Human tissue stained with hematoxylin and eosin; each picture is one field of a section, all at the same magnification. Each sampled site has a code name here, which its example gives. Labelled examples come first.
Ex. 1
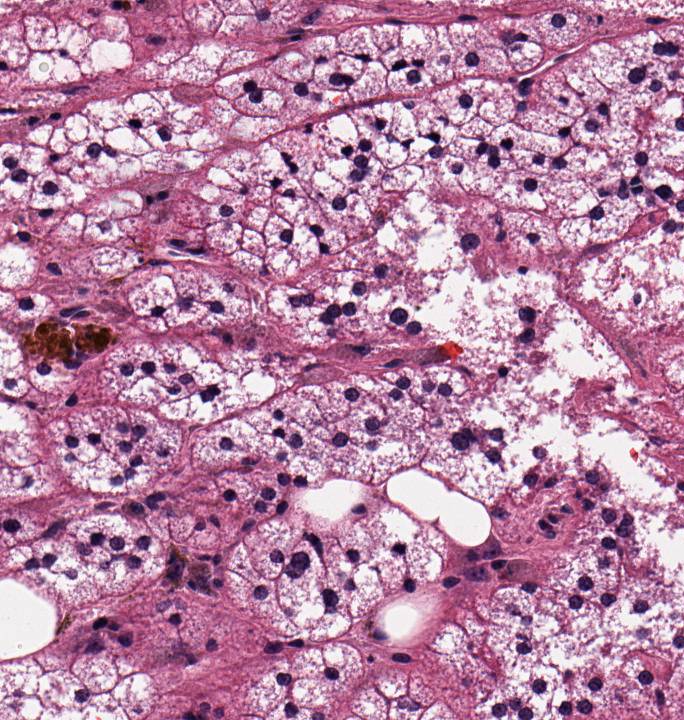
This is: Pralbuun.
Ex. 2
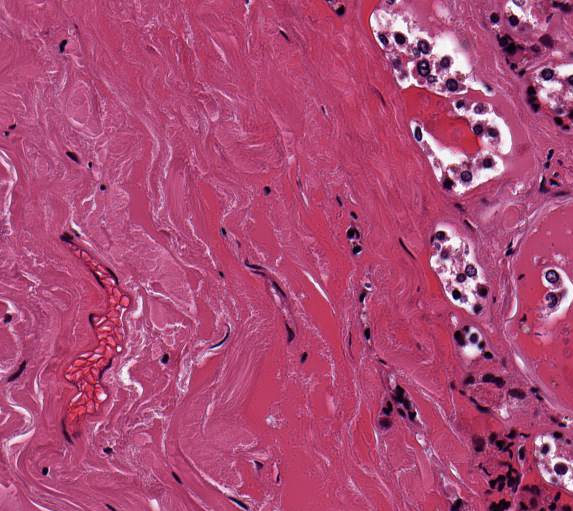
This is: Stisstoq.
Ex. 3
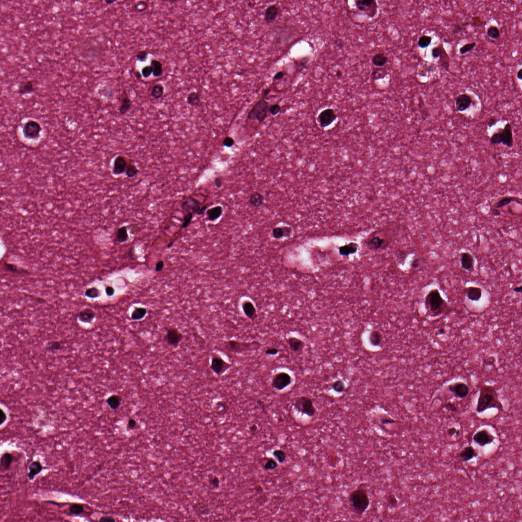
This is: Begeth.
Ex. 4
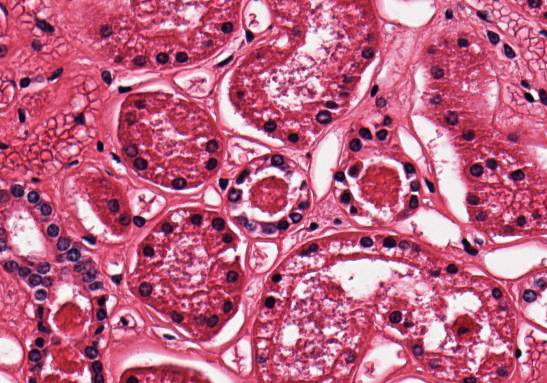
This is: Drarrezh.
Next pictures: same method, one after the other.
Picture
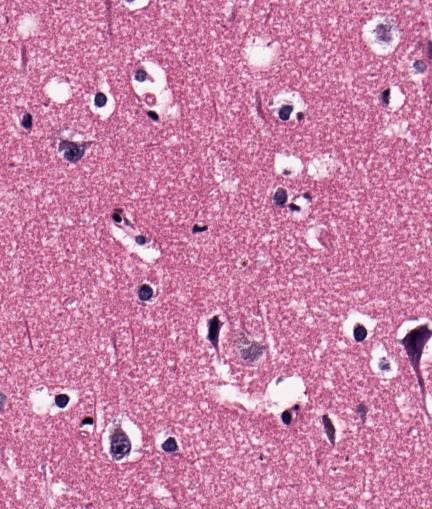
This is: Begeth.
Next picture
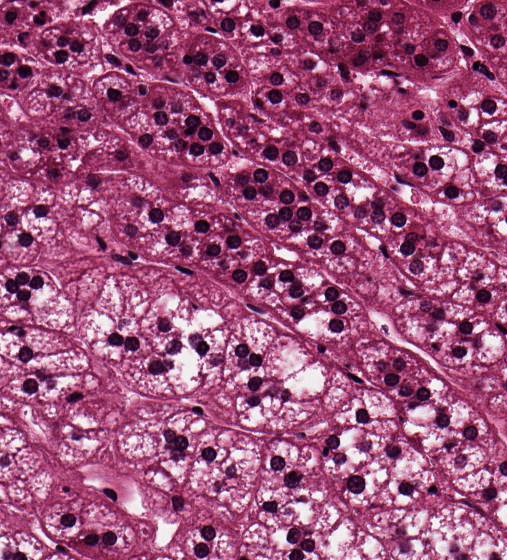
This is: Pralbuun.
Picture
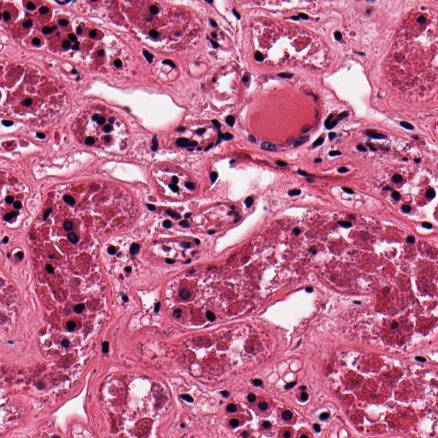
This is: Drarrezh.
